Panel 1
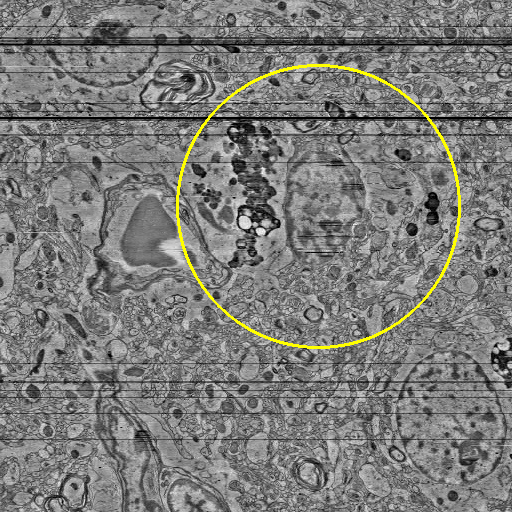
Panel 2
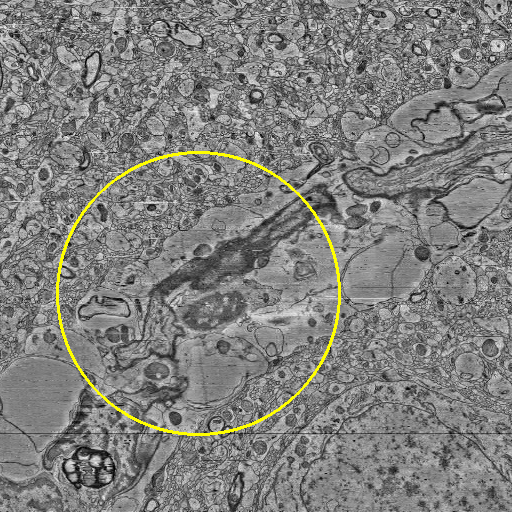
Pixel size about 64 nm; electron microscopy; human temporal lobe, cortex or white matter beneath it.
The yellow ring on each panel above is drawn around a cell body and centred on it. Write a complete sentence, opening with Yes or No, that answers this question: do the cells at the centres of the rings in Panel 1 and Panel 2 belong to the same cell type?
Yes, both cells belong to the same cell type.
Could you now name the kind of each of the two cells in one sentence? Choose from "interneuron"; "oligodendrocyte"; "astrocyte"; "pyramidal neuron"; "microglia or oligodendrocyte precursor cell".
Each cell, in the first picture and the second, is an oligodendrocyte.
